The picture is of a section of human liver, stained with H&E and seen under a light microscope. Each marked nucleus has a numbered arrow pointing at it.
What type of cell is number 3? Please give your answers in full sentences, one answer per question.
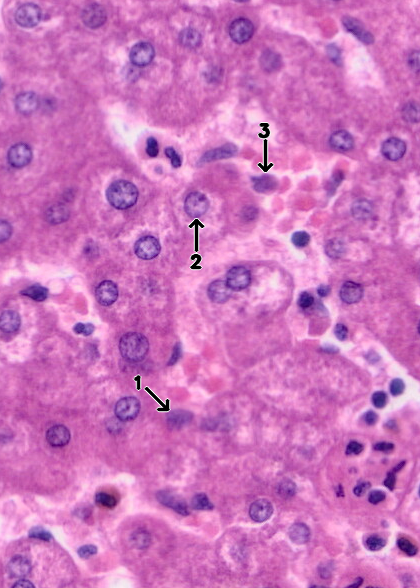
The correct answer for cell 3 is an endothelial cell.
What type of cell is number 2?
The one numbered 2 among the marked cells is a hepatocyte.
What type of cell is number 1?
Cell 1 in the field of view is an endothelial cell.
